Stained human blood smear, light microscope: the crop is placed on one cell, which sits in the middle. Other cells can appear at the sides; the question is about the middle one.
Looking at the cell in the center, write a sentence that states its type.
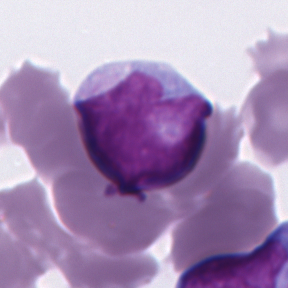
The centrally placed cell is classified as a blast.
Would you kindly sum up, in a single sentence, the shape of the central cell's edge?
Because its outline is ragged or drawn out into projections, the cell lacks a smooth border.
